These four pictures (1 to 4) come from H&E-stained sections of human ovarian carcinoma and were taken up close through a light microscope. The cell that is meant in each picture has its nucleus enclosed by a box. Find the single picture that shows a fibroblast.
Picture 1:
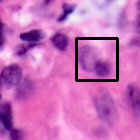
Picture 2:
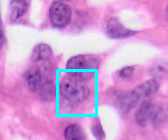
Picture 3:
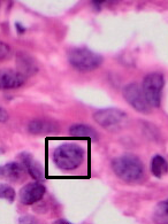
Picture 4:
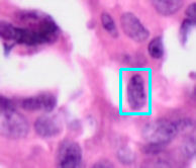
1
